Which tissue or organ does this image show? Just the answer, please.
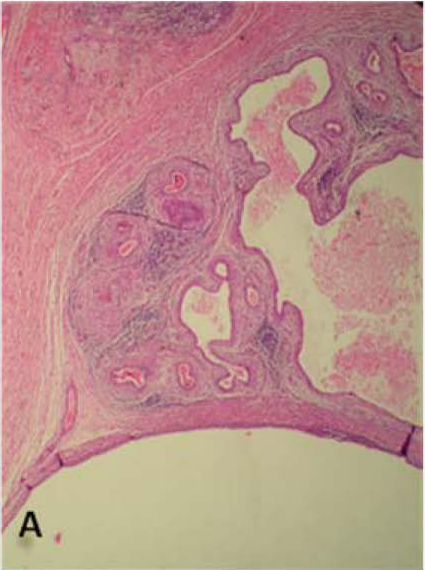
mature glands and stroma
